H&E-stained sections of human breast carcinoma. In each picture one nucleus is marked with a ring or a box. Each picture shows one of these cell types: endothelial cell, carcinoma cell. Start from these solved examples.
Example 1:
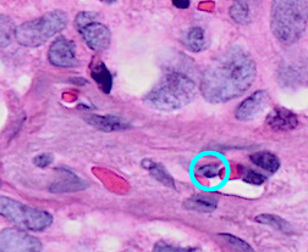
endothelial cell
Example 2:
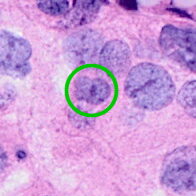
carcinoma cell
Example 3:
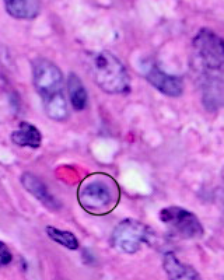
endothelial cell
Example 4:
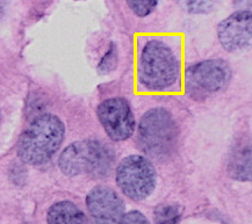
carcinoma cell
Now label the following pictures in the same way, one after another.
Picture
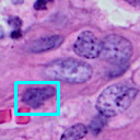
endothelial cell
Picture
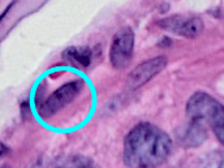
endothelial cell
